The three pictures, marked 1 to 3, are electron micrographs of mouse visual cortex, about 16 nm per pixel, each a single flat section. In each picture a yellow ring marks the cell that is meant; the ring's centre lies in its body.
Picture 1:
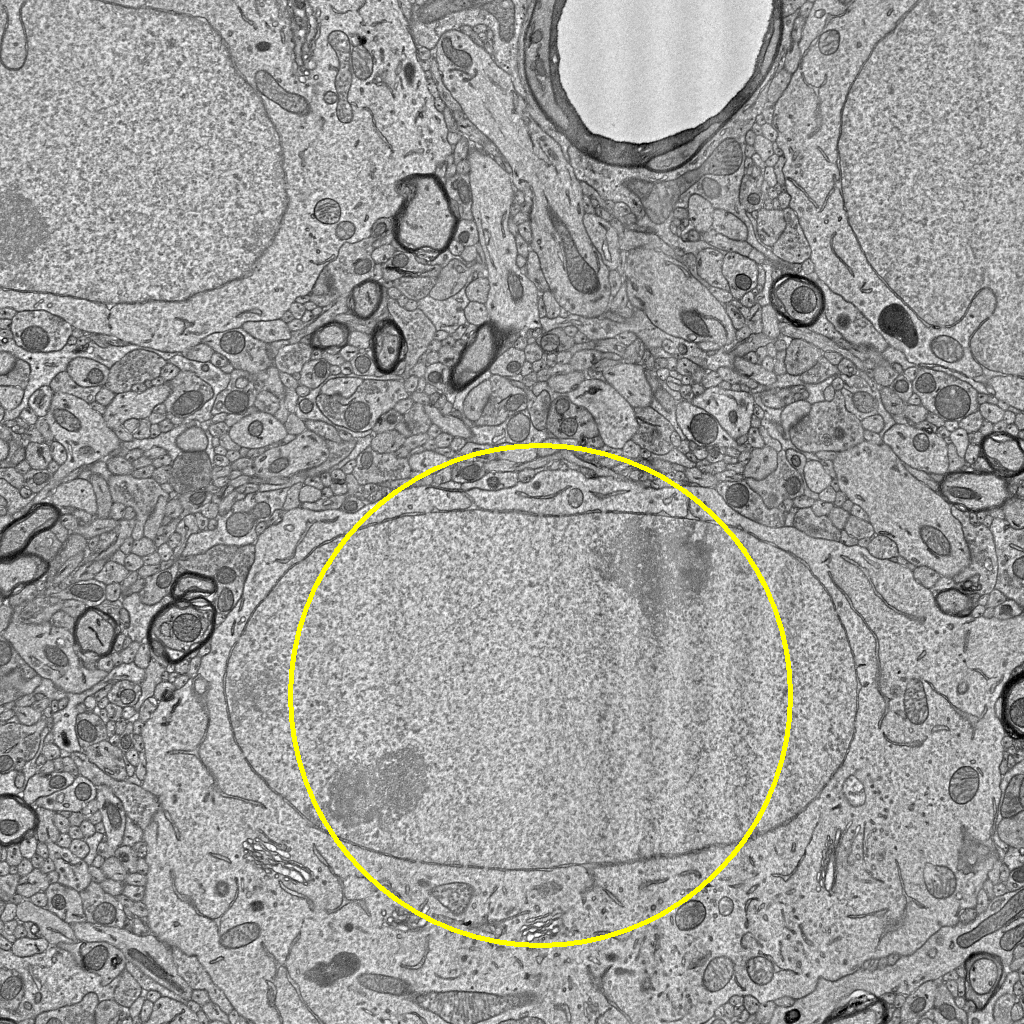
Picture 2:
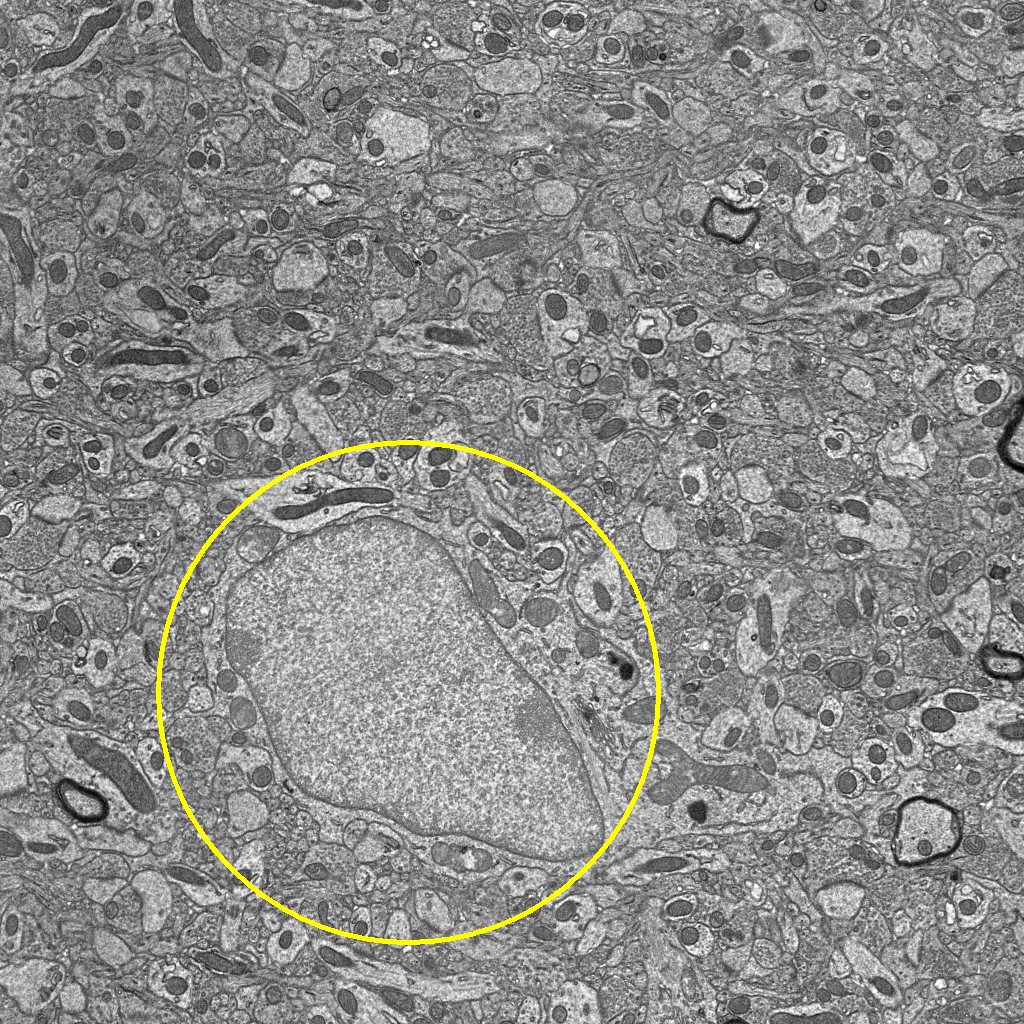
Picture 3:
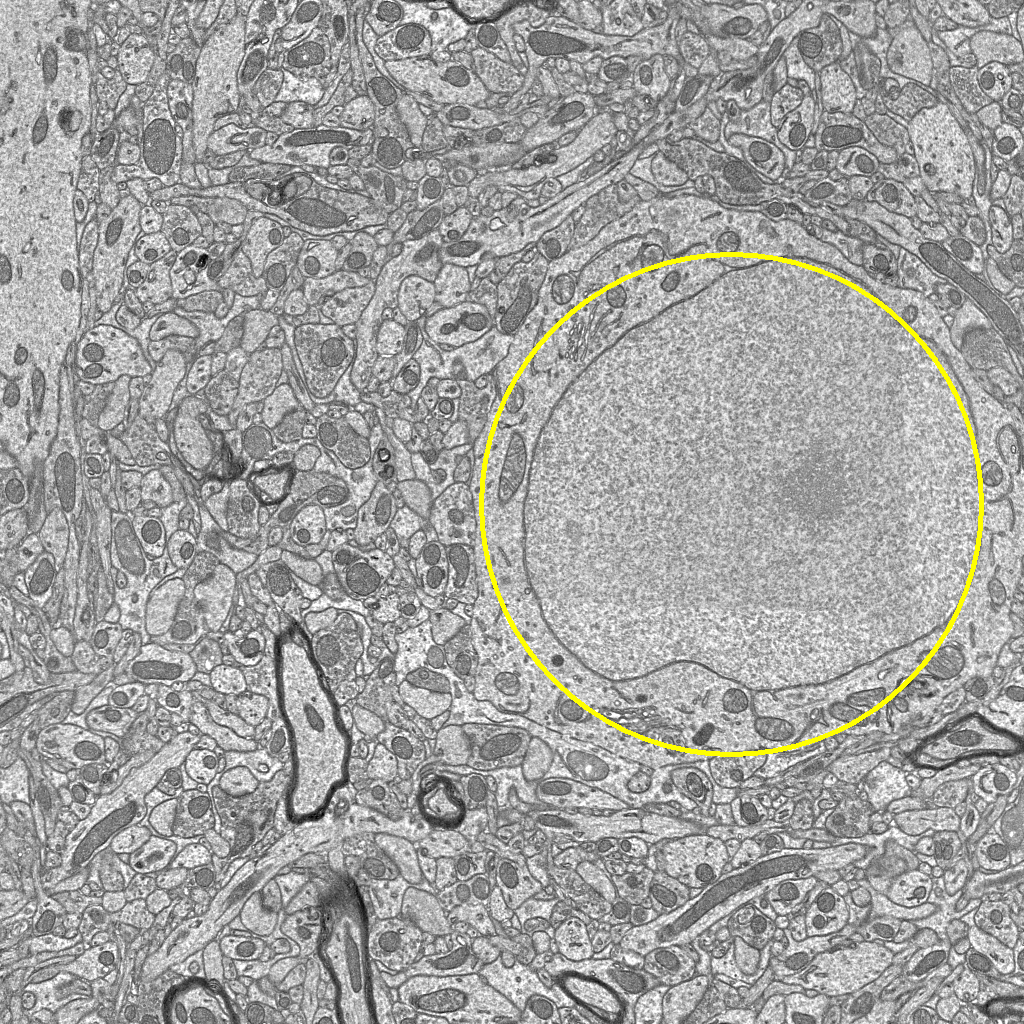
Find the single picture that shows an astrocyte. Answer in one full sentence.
The picture with the astrocyte is 2.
